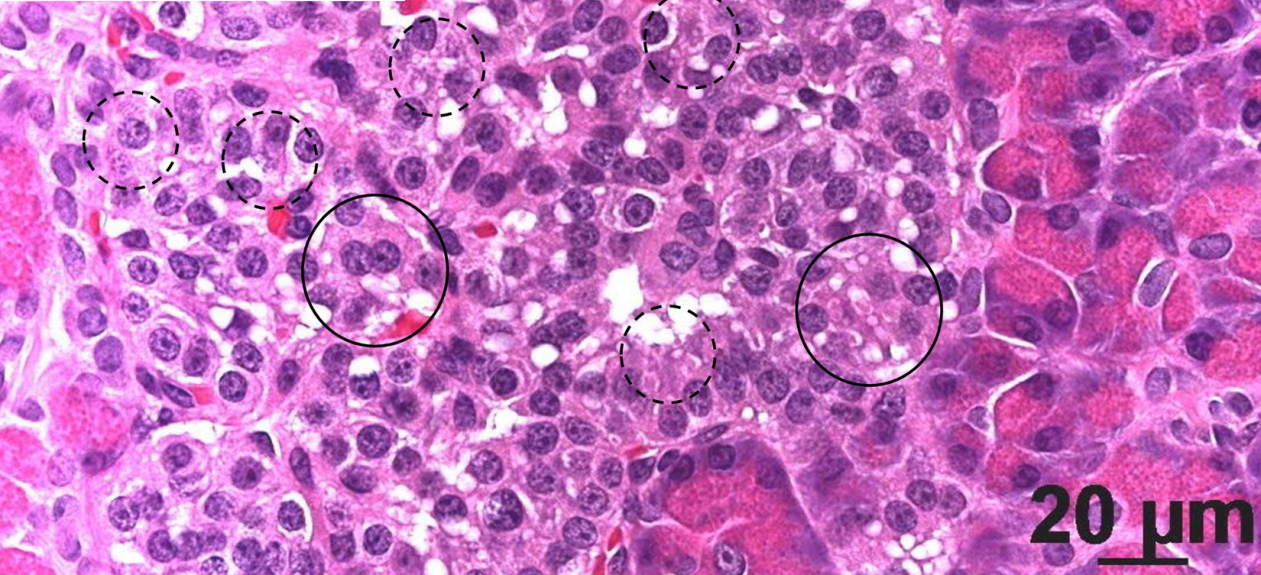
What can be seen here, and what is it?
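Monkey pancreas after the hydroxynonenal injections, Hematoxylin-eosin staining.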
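This is a pancreatic islet of Langerhans bordered by acinar cells. The islet cells are packed closely, with round to oval purple nuclei holding dense, coarse chromatin and pale pink cytoplasm. Many round clear white vacuoles of varying size lie in the cytoplasm between and within the islet cells, several gathered in groups. A few nuclei look paler or speckled rather than evenly dense. Small red blood cells mark thin capillaries between the cells. At the edges, acinar cells with bright pink-red granular cytoplasm form clusters, their nuclei pushed to the cluster borders.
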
